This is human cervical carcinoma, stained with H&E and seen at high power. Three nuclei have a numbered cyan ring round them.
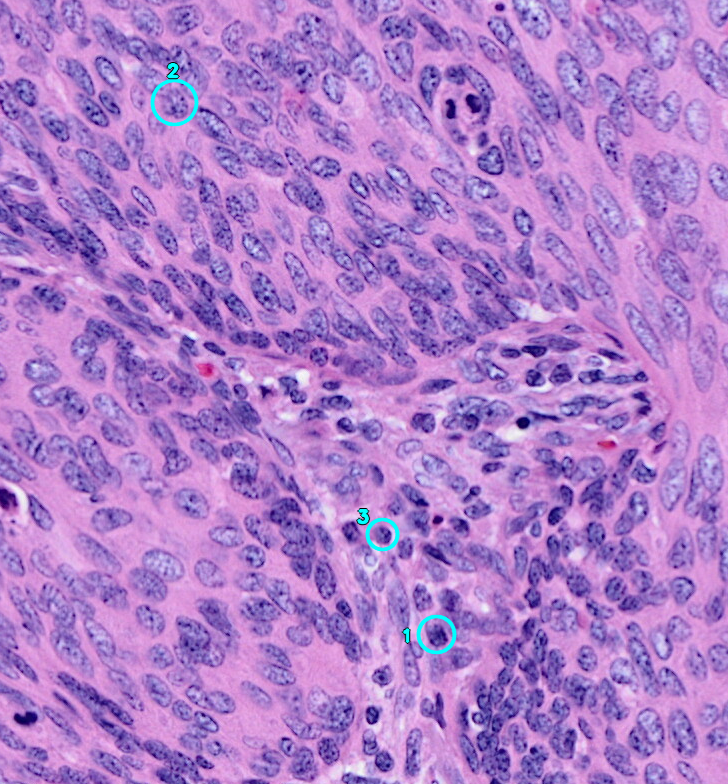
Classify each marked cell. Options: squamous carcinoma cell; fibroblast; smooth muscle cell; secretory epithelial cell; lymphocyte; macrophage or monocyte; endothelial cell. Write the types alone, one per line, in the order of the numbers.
lymphocyte
squamous carcinoma cell
lymphocyte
